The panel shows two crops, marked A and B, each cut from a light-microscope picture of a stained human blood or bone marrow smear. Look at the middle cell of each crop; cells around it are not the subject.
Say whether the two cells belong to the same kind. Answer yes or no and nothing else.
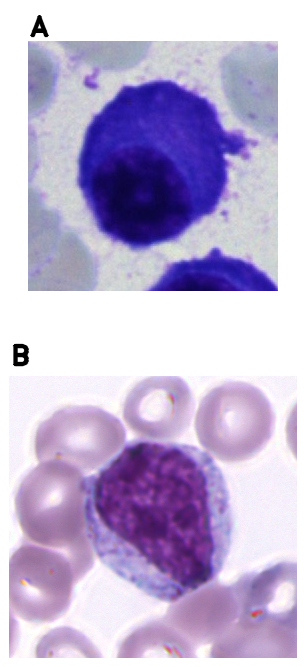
no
